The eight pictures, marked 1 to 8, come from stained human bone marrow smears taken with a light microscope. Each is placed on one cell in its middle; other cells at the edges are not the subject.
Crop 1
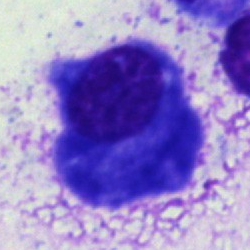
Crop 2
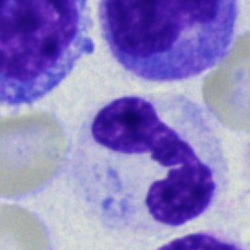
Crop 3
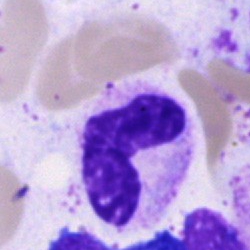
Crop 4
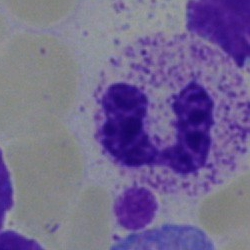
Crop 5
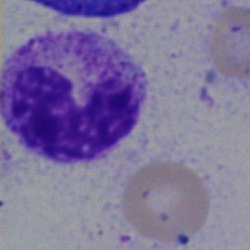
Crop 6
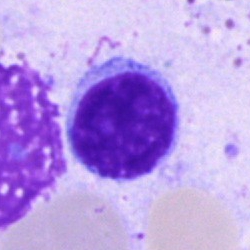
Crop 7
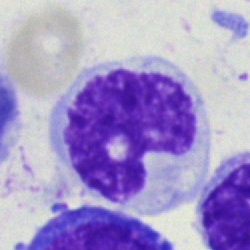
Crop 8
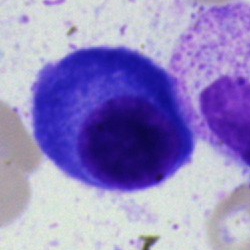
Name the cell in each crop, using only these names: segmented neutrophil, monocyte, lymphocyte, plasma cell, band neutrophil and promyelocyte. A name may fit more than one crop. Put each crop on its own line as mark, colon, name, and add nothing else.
1: plasma cell
2: segmented neutrophil
3: band neutrophil
4: segmented neutrophil
5: band neutrophil
6: lymphocyte
7: monocyte
8: plasma cell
